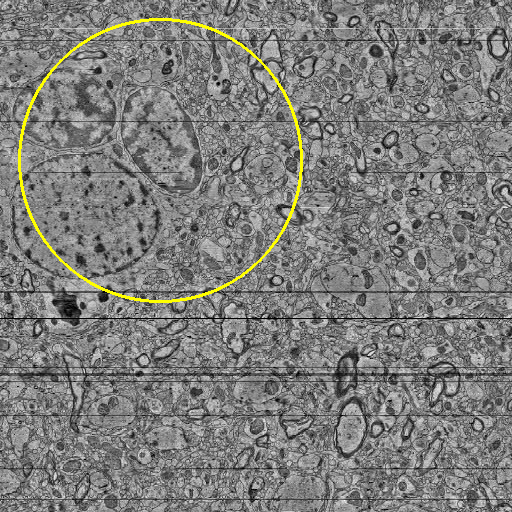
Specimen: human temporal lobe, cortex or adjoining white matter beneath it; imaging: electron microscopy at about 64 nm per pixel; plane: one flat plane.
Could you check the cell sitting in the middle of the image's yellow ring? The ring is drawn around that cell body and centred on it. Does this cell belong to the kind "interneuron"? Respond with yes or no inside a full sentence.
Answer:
No, this cell in the middle of the yellow ring is one of a different kind.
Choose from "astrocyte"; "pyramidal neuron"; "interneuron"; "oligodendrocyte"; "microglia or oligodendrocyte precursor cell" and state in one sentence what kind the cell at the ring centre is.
At the centre of the ring sits a microglial cell or oligodendrocyte precursor cell.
